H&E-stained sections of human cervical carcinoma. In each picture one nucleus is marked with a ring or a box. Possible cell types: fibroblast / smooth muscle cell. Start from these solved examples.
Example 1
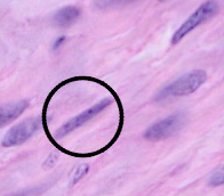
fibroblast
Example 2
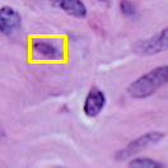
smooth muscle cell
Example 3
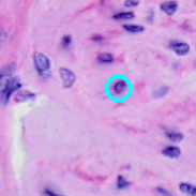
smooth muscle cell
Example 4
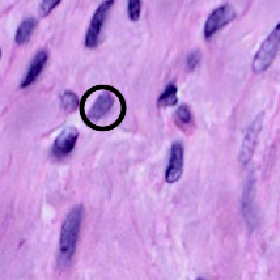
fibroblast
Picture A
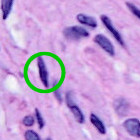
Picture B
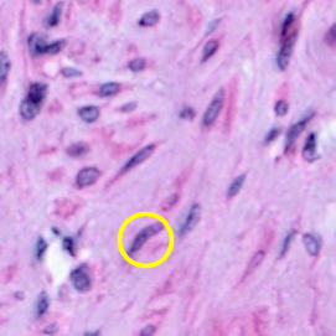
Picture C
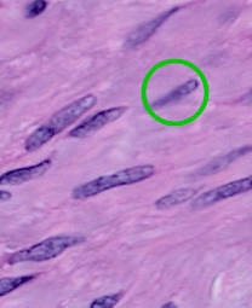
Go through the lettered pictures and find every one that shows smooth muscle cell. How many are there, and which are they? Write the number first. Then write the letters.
1: B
